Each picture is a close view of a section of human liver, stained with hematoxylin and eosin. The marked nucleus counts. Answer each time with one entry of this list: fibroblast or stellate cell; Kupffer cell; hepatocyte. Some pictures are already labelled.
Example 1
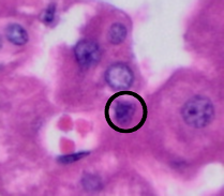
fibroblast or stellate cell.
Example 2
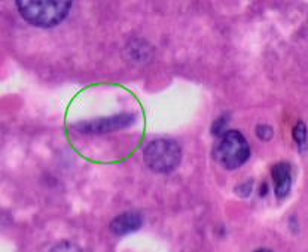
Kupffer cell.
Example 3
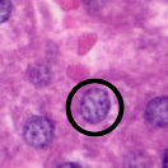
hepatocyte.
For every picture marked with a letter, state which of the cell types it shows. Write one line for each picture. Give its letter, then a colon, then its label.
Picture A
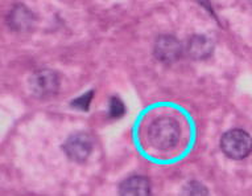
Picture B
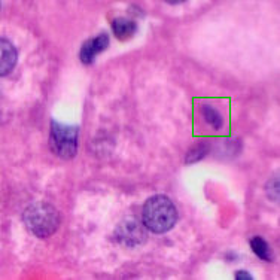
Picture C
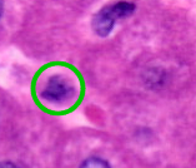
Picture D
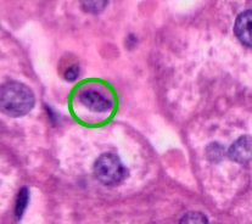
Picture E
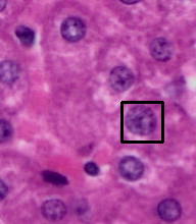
A: hepatocyte.
B: fibroblast or stellate cell.
C: Kupffer cell.
D: Kupffer cell.
E: hepatocyte.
